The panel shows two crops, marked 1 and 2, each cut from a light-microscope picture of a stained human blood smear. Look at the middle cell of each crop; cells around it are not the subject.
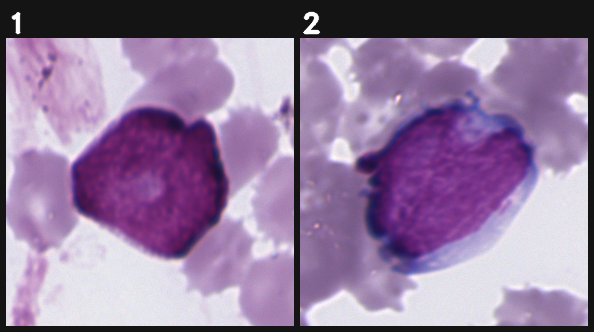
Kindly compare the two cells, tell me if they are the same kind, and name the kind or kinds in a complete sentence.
Yes, what both crops show at their centres are myeloblasts.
